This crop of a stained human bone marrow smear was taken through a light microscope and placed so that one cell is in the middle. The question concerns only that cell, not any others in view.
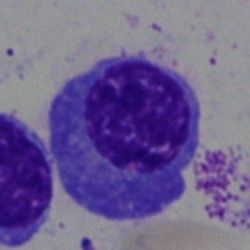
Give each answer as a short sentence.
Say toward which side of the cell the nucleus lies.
The nucleus lies toward the upper right of the cell.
